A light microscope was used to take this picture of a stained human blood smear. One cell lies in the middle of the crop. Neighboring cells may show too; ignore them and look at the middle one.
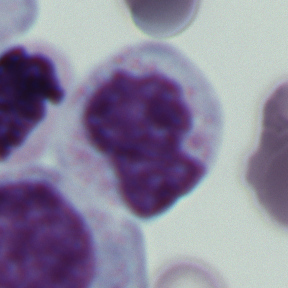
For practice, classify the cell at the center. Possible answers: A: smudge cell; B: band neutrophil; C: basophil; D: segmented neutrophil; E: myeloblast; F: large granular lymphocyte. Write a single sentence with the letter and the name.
The centrally positioned cell is a band neutrophil, consistent with option B, which is correct.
